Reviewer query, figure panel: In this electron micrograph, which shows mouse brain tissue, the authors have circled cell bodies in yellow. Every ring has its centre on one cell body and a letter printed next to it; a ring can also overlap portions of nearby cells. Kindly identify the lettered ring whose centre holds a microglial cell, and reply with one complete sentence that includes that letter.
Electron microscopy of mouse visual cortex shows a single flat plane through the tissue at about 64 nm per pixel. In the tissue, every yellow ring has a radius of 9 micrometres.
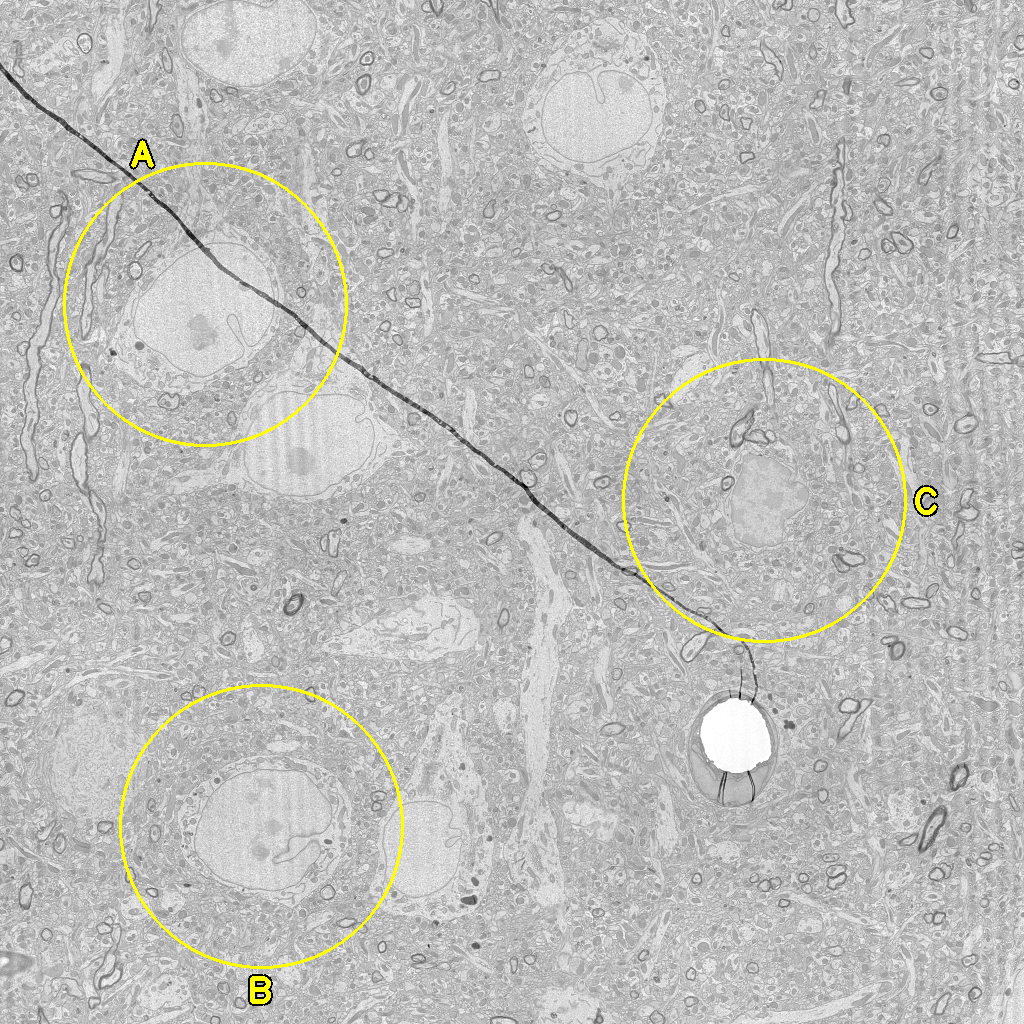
In this figure panel, the ring labelled C has the cell asked for at its centre.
